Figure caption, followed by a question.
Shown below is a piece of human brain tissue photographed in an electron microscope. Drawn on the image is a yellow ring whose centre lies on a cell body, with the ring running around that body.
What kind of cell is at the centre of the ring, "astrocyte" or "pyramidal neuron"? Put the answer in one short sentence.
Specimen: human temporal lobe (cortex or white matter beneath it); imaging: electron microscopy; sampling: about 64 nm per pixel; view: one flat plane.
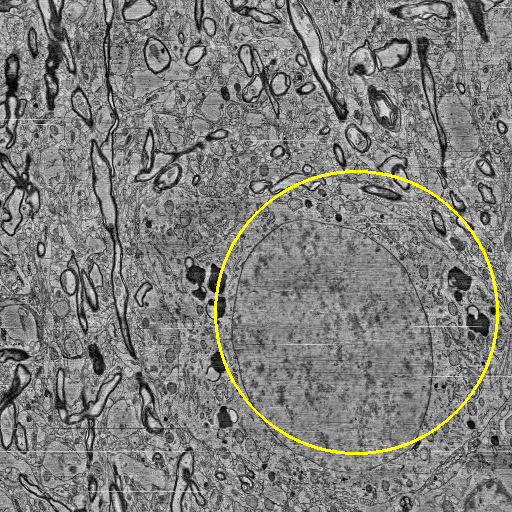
The ring marks the cell body of a pyramidal neuron.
